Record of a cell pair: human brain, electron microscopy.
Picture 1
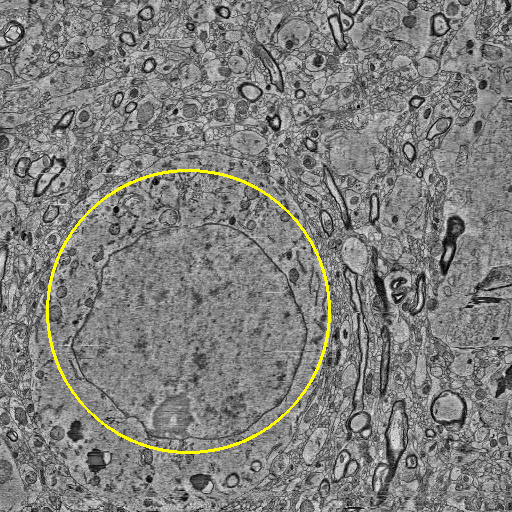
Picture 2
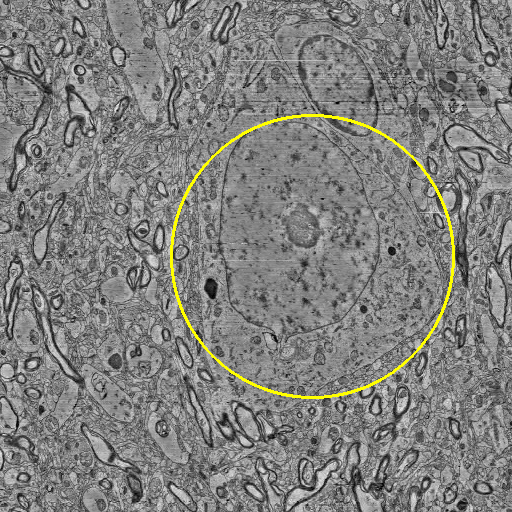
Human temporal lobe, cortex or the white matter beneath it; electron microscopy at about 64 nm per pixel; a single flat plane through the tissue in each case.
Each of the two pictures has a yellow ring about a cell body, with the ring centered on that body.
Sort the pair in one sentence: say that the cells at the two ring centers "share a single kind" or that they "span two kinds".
The cells centered in the rings of Pictures 1 and 2 share a single kind.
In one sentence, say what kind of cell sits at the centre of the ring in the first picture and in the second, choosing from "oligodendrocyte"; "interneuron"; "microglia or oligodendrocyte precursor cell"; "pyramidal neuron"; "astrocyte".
In both pictures the ring is centred on a pyramidal neuron.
